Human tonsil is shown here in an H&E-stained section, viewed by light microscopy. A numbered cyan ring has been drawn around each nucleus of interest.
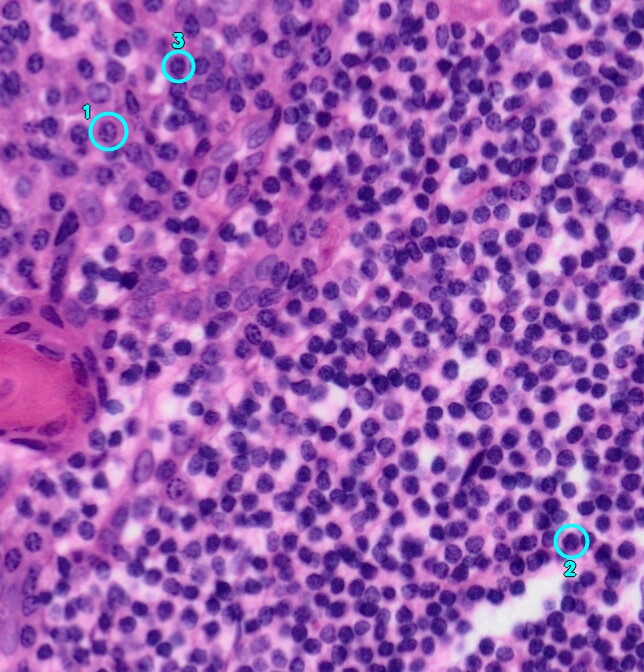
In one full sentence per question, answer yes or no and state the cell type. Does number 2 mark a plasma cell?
No, the cell with the number 2 is a small lymphocyte, not a plasma cell.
